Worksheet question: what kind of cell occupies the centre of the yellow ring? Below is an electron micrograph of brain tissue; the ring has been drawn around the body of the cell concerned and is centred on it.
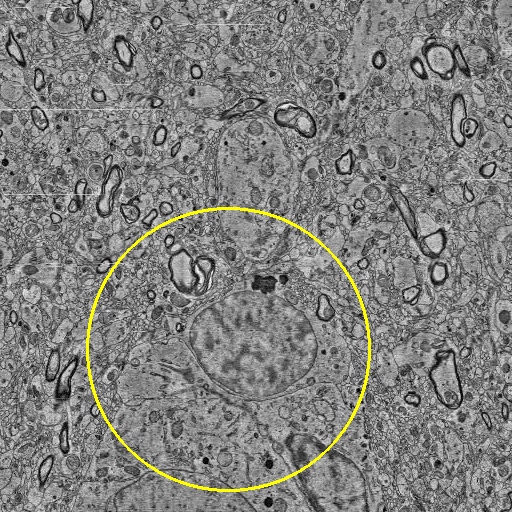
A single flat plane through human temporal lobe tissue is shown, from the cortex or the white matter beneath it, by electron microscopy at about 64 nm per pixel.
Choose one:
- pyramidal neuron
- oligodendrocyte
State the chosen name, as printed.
oligodendrocyte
